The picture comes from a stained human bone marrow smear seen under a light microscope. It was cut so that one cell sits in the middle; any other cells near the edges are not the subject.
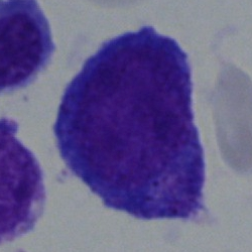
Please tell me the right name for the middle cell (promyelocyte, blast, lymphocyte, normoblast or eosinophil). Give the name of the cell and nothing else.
promyelocyte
